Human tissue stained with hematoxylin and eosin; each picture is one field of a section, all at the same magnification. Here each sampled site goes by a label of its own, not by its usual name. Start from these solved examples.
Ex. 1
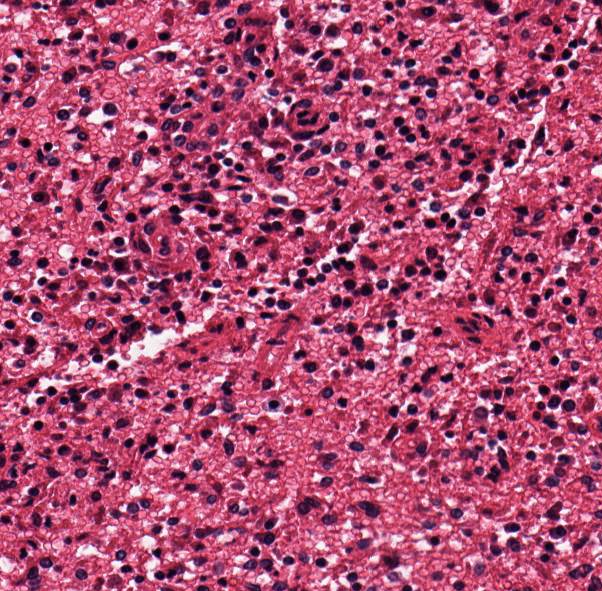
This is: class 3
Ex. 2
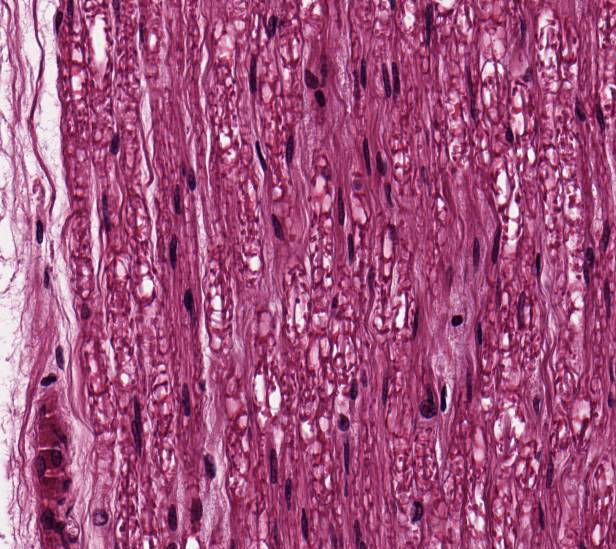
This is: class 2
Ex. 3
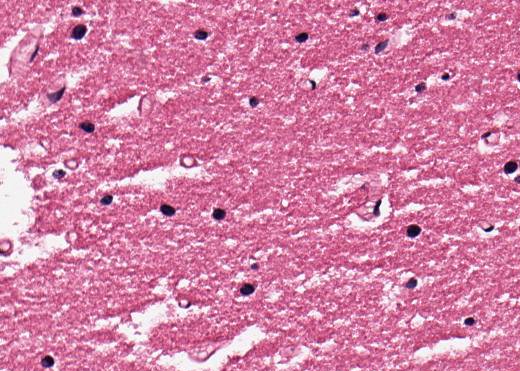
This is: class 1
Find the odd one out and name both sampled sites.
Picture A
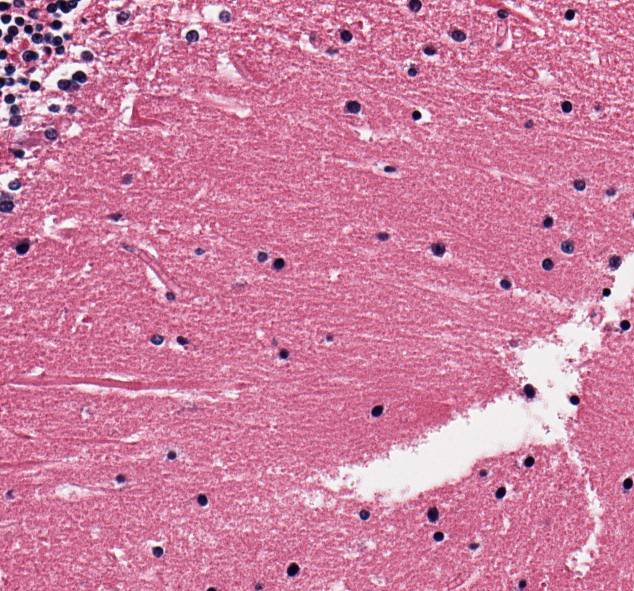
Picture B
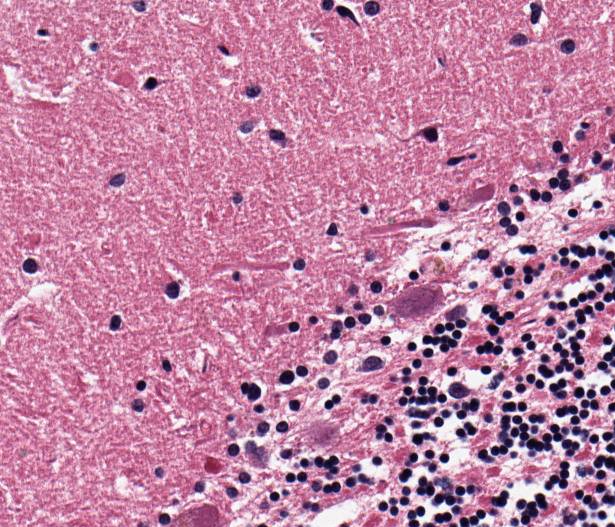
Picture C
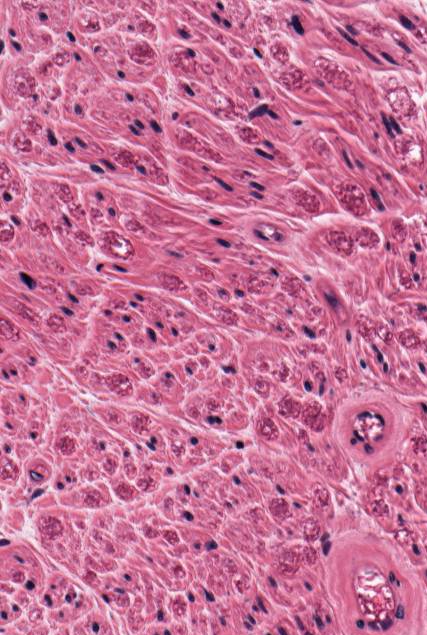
C: class 2; all the others: class 1.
